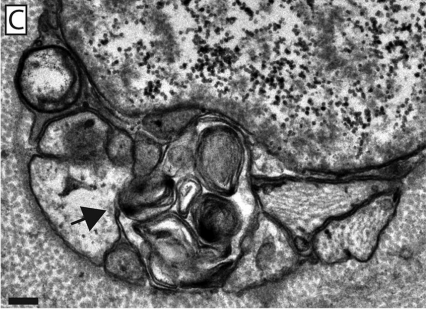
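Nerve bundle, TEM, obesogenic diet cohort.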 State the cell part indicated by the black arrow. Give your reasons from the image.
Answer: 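Autophagic vesicle accumulation. A cluster of membrane-bound vesicles, some with layered dark membranes, packed in a pale profile. The cluster lies beside a larger swollen pale profile.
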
